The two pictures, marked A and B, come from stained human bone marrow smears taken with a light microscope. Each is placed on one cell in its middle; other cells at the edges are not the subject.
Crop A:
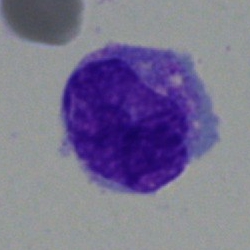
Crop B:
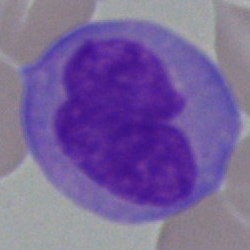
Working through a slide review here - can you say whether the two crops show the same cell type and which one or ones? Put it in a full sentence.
Yes, in the middle of both crops, monocytes are shown.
